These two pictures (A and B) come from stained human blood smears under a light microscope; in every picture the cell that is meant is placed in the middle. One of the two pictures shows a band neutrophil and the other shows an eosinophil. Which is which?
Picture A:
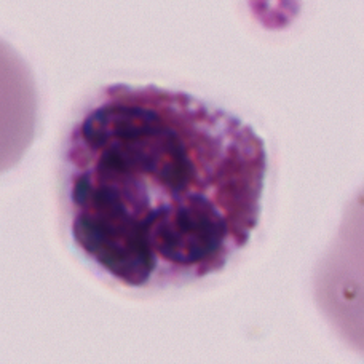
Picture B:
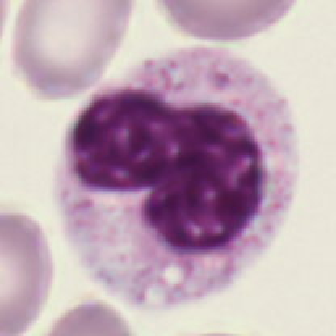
A: eosinophil
B: band neutrophil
